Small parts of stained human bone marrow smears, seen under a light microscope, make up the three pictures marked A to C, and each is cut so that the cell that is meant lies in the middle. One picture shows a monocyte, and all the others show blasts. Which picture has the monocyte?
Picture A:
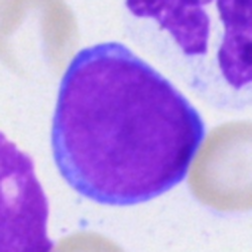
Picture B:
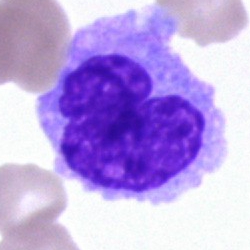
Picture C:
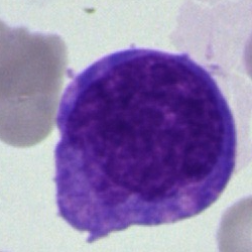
B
